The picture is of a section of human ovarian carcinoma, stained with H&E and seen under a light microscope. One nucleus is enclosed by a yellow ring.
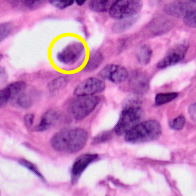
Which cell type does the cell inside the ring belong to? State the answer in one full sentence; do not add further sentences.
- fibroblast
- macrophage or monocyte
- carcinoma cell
On this particular slide, the cell inside the ring is a carcinoma cell.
